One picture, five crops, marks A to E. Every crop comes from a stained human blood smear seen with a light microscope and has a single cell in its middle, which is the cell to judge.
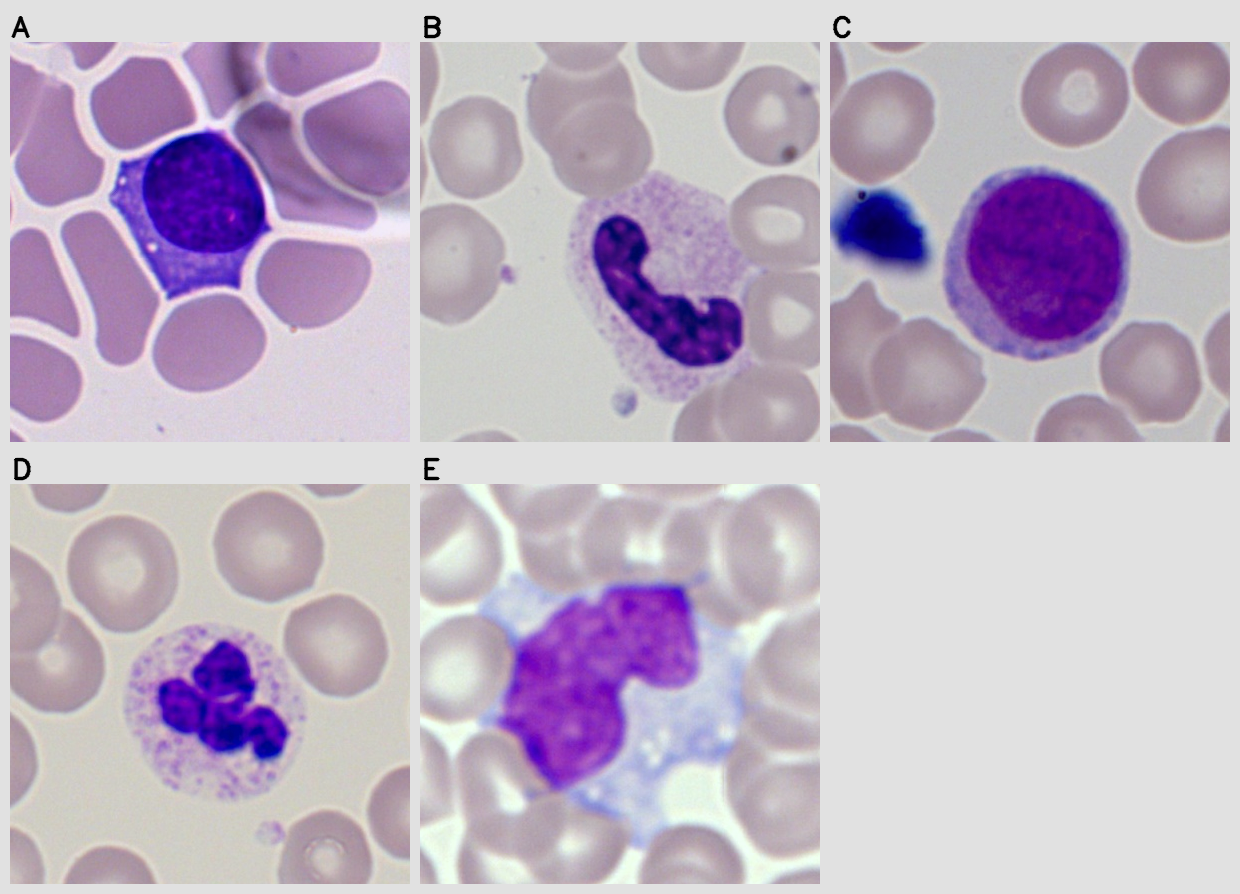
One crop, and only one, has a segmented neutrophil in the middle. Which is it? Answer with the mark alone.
D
